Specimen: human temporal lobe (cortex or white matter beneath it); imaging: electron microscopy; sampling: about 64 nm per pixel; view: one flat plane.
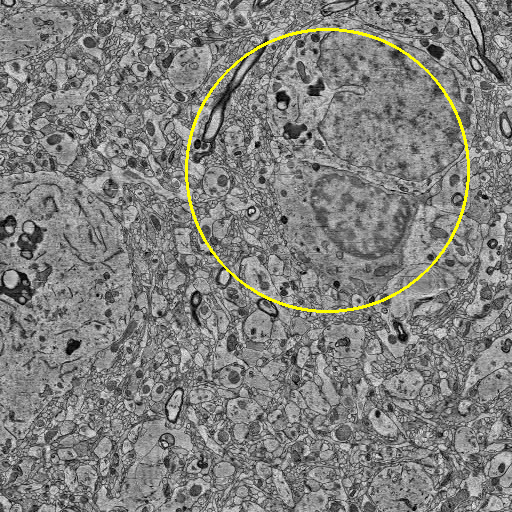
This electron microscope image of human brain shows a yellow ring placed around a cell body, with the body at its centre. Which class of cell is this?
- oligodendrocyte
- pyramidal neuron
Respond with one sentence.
The cell body at the ring's centre is an oligodendrocyte.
